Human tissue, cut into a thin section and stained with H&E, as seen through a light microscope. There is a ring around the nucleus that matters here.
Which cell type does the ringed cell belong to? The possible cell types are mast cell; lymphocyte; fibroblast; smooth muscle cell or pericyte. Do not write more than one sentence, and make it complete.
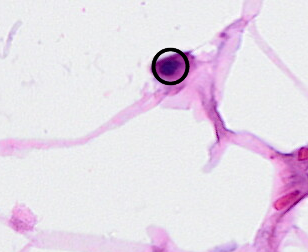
Assigned to a cell type, the ringed cell is a mast cell.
